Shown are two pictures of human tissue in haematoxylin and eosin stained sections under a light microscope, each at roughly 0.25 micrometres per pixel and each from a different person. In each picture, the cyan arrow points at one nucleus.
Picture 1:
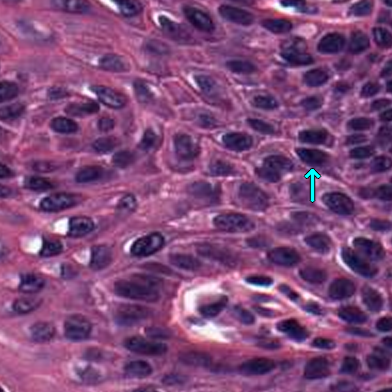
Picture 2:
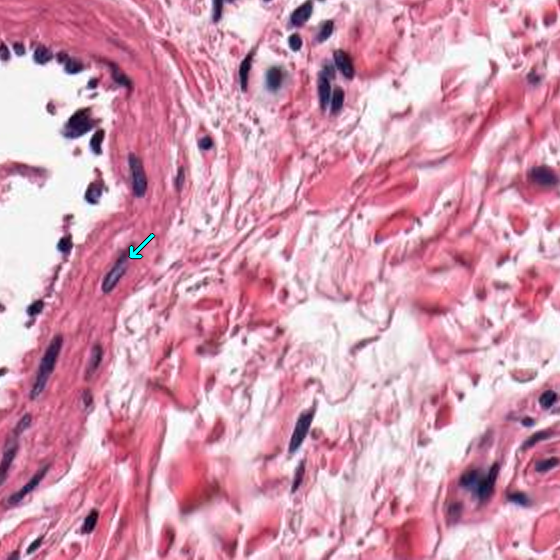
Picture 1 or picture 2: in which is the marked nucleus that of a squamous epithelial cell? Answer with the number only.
1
